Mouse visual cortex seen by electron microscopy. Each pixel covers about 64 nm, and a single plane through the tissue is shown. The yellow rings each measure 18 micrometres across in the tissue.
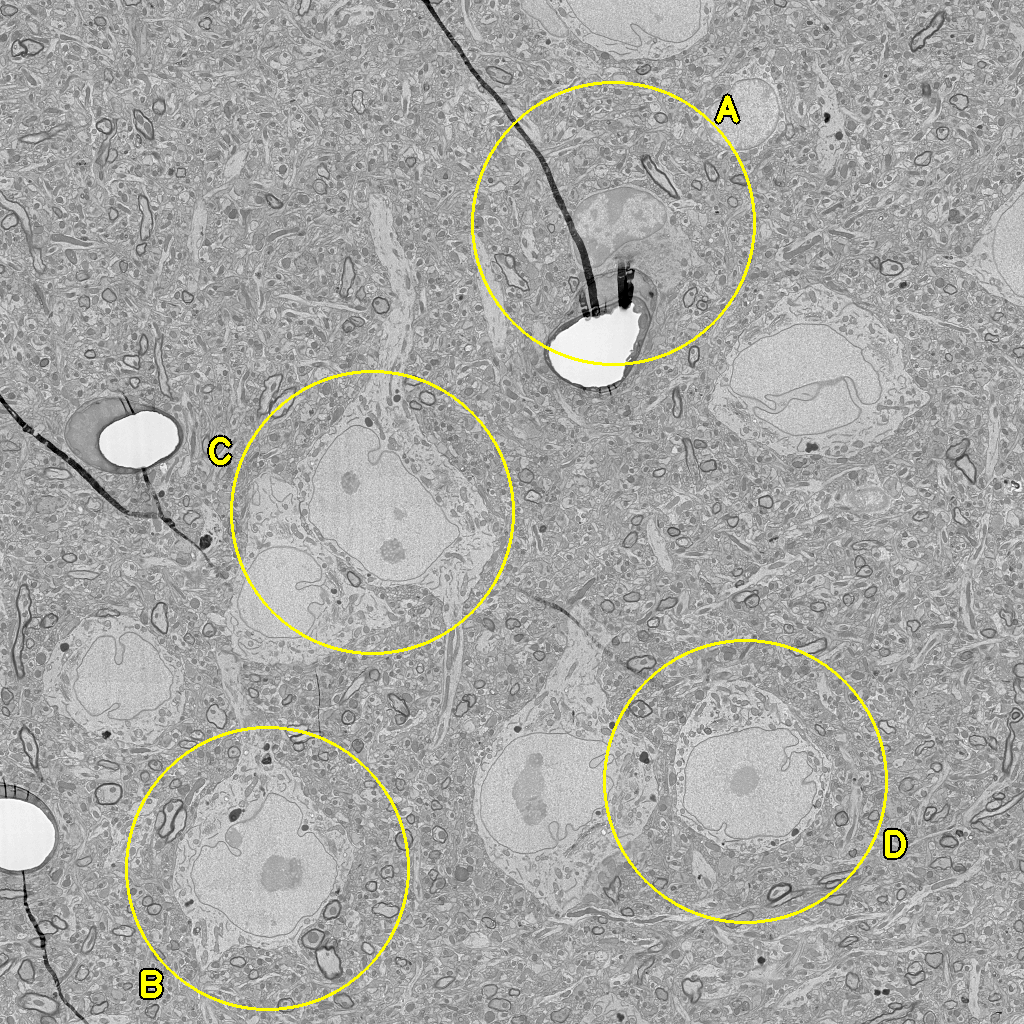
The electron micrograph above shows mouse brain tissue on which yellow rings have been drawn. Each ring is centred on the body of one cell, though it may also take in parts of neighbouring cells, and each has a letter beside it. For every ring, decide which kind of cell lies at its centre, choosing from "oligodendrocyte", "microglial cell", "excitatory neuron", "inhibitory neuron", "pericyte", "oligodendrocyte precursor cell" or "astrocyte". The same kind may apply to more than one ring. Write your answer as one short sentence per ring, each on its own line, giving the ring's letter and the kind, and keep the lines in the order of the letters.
Ring A is centred on an oligodendrocyte.
Ring B is centred on an excitatory neuron.
Ring C is centred on an excitatory neuron.
Ring D is centred on an inhibitory neuron.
